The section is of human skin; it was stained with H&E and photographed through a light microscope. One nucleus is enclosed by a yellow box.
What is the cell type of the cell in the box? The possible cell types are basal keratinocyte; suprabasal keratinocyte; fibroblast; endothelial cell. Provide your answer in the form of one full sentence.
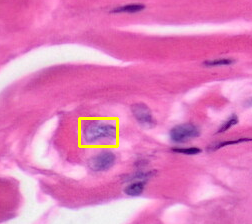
In this preparation, the cell in the box is an endothelial cell.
